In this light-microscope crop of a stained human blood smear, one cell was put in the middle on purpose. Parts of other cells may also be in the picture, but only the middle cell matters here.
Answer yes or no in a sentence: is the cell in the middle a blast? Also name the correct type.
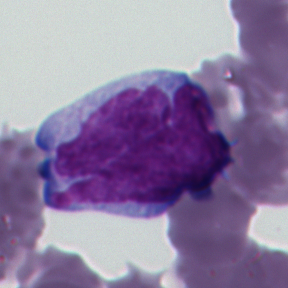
Yes, the cell at the very centre of the crop is a blast.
